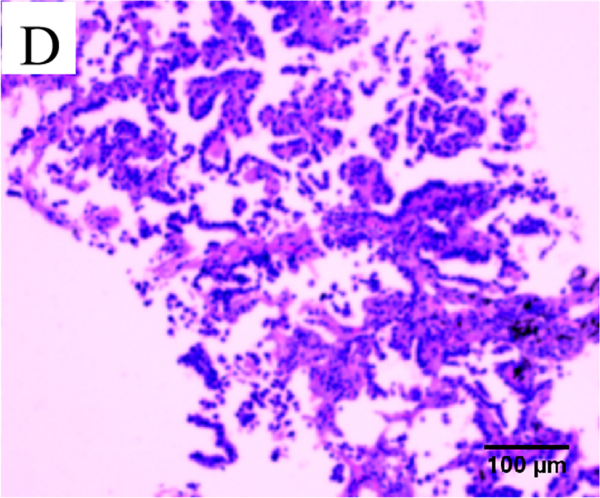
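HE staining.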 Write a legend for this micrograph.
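This is a fragmented tissue sample of glandular structures made of crowded epithelial cells, stained mostly purple. The tissue forms thin branching fronds and small clusters with wide pale empty spaces around them. Along the fronds the cells are packed closely, with dark purple nuclei and little pink cytoplasm. A denser band of cells and pink strands runs across the middle of the sample. A few small black specks lie at the right edge of the tissue.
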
